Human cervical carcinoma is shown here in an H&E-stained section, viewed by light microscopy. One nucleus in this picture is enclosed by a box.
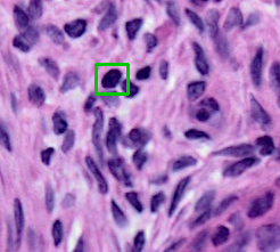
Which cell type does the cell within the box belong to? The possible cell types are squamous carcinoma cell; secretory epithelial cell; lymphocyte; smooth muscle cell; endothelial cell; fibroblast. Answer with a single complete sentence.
The cell type of the cell within the box is that of a lymphocyte.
